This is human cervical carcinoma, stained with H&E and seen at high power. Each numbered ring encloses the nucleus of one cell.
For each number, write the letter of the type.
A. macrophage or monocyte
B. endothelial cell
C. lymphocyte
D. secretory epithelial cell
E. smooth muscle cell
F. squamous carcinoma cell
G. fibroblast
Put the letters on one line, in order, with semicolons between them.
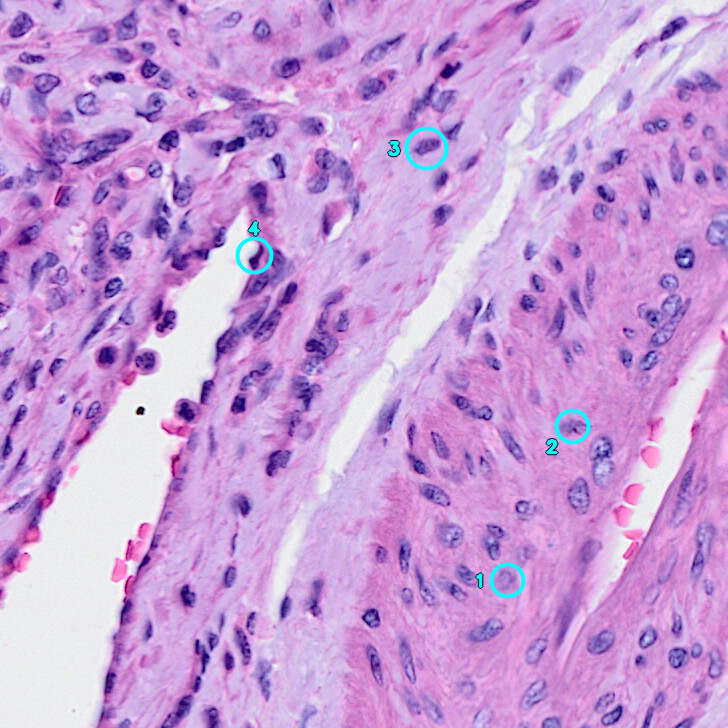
E; E; G; B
